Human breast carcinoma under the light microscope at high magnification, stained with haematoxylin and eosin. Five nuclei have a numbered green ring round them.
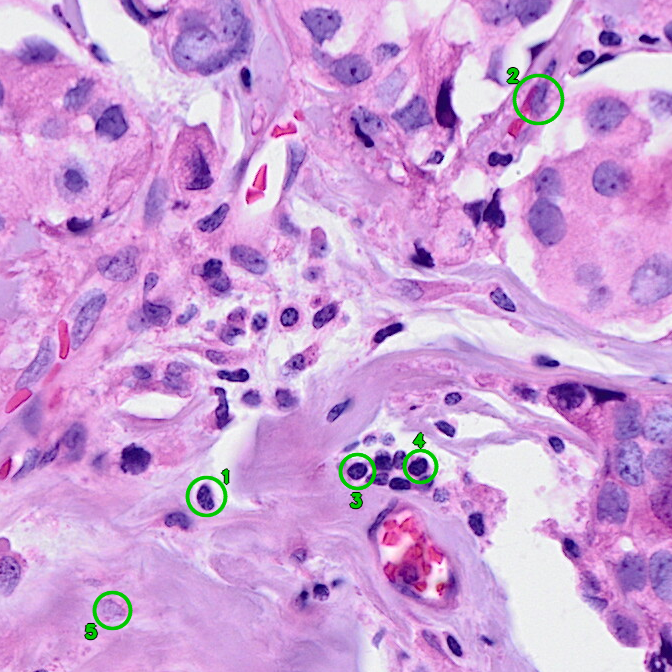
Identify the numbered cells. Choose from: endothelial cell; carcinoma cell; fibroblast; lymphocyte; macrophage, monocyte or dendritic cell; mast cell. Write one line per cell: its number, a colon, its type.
1: lymphocyte
2: endothelial cell
3: lymphocyte
4: lymphocyte
5: fibroblast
